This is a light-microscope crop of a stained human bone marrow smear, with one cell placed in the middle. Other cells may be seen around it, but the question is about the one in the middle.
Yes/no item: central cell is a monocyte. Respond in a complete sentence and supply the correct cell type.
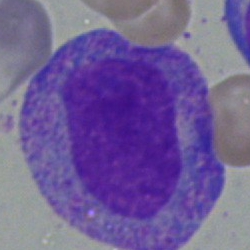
No, at the centre of this crop is found a promyelocyte instead of a monocyte.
